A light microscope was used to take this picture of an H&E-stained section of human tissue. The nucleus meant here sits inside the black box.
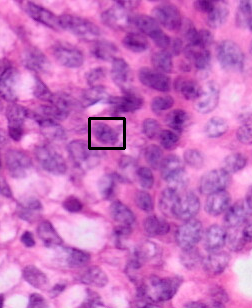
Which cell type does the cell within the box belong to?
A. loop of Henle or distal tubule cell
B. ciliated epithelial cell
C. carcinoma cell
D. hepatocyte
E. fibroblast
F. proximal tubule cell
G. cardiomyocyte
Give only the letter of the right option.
B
